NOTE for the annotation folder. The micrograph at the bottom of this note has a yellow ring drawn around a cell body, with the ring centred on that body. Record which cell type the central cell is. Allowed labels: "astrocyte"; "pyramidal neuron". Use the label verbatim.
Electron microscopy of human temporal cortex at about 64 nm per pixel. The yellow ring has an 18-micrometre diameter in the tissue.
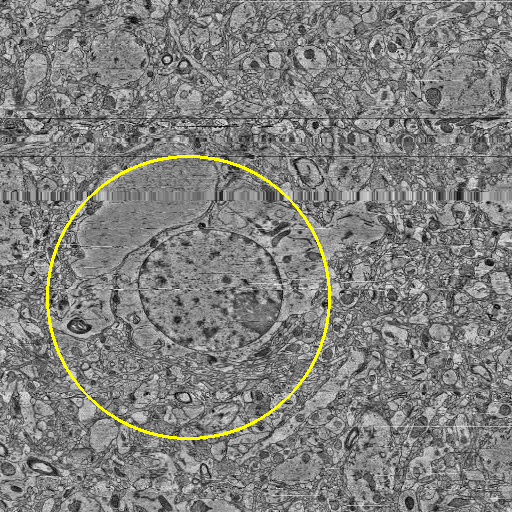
astrocyte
